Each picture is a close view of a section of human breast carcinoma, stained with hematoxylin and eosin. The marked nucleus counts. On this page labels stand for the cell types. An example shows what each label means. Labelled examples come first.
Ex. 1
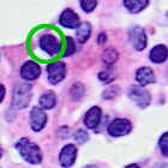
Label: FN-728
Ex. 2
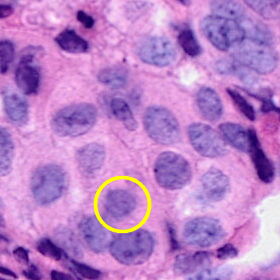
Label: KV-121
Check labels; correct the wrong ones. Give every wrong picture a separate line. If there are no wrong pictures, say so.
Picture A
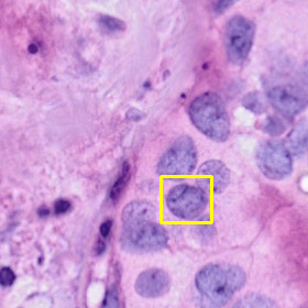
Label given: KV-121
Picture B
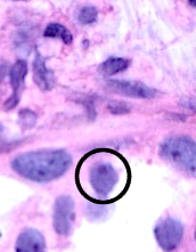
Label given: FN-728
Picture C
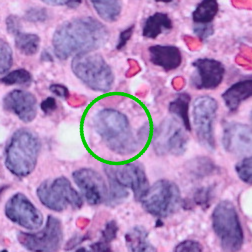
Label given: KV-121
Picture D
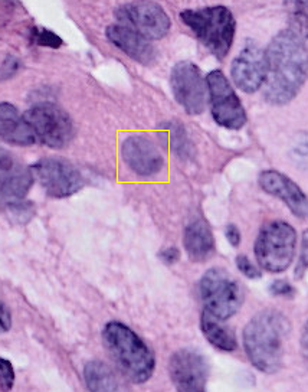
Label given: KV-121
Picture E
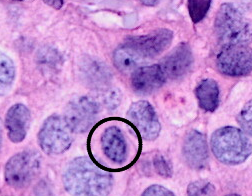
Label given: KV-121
B: KV-121, not FN-728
